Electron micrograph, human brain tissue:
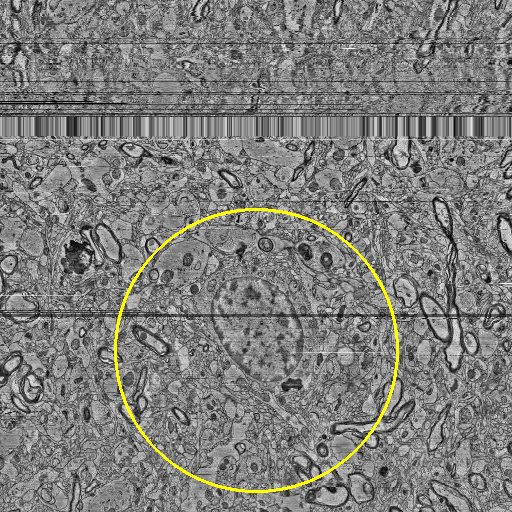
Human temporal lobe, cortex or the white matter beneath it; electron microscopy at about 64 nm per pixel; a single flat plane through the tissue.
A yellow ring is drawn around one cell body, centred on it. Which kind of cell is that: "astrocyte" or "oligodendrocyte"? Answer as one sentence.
It is an oligodendrocyte at the centre of the ring.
